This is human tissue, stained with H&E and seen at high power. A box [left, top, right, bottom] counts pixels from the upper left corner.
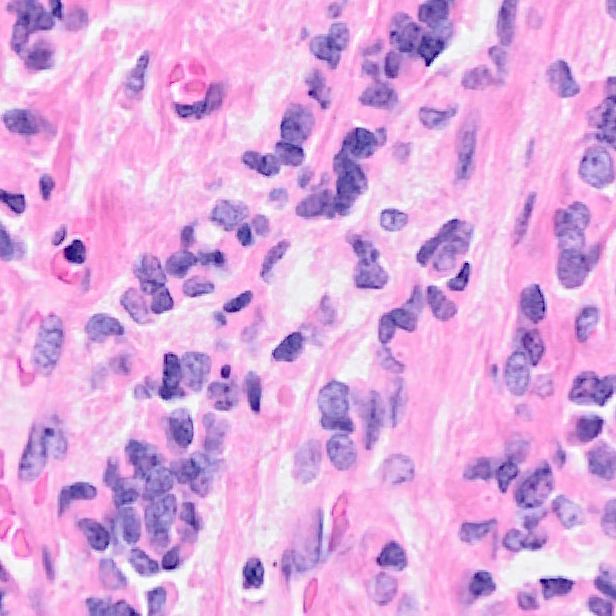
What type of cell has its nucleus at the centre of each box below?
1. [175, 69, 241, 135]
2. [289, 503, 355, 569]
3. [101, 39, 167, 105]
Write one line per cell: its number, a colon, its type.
1: endothelial cell
2: endothelial cell
3: fibroblast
